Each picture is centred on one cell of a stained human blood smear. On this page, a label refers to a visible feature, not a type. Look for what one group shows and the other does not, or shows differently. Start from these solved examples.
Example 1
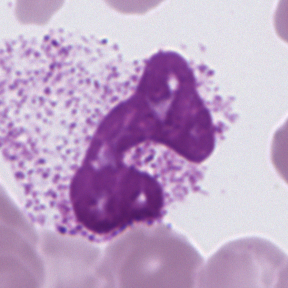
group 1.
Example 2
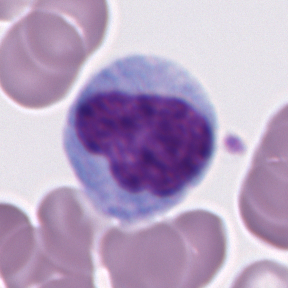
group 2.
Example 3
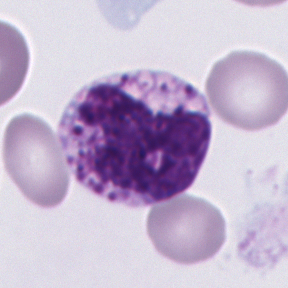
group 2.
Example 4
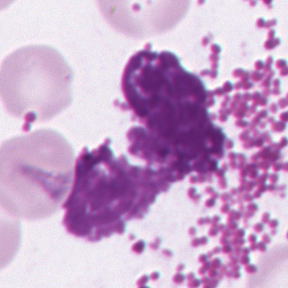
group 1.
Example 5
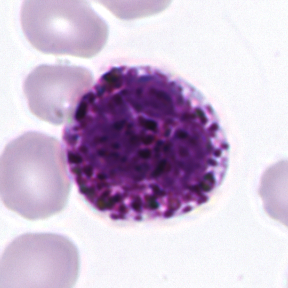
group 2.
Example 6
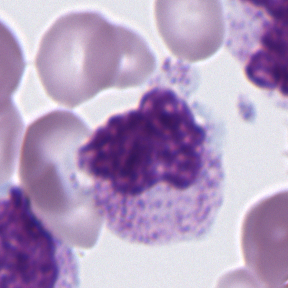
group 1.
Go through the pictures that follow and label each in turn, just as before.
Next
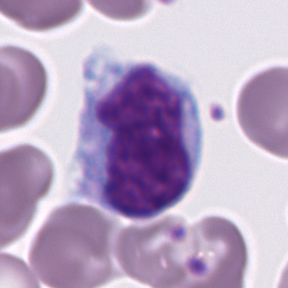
group 1.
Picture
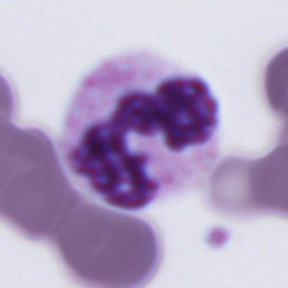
group 2.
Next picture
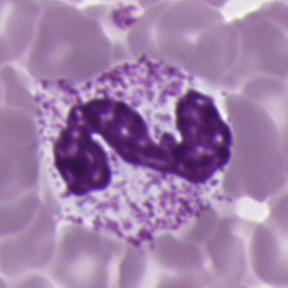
group 1.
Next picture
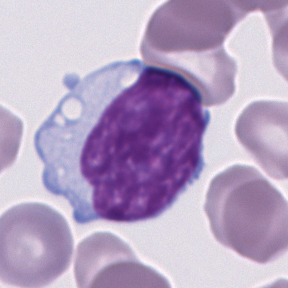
group 1.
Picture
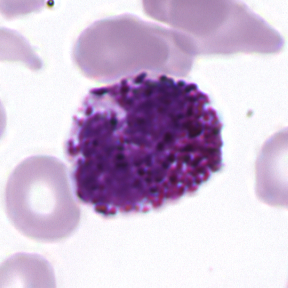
group 1.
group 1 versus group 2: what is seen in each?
group 1, ragged outline or projections; group 2, smooth outline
